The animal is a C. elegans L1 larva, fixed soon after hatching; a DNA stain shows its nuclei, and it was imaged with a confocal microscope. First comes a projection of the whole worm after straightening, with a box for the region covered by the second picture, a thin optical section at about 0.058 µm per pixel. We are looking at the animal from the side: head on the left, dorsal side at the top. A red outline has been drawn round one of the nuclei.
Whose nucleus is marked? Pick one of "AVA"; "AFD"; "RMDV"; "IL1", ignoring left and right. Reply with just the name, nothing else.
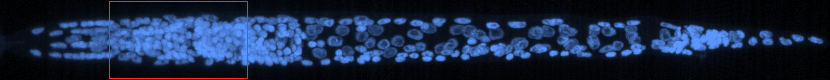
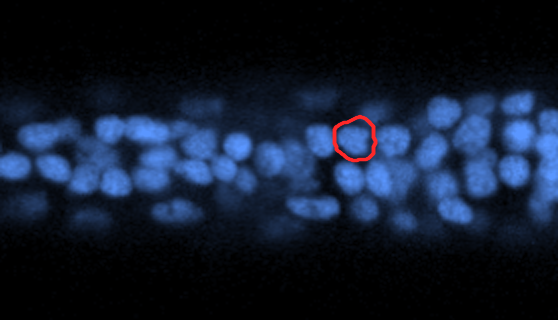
AVA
